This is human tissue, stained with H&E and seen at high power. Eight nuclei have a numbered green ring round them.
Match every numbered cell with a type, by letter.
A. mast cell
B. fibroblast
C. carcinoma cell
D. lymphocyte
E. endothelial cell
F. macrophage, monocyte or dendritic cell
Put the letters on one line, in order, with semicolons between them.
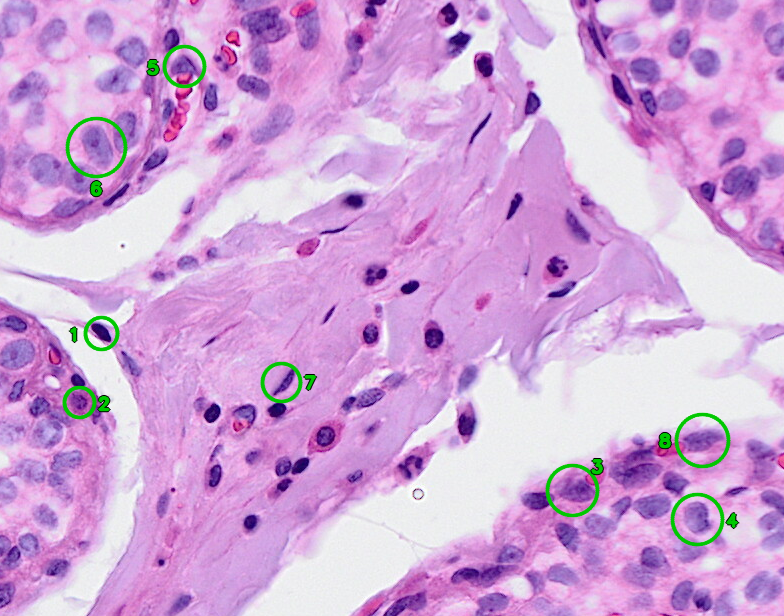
D; A; E; C; E; C; B; E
